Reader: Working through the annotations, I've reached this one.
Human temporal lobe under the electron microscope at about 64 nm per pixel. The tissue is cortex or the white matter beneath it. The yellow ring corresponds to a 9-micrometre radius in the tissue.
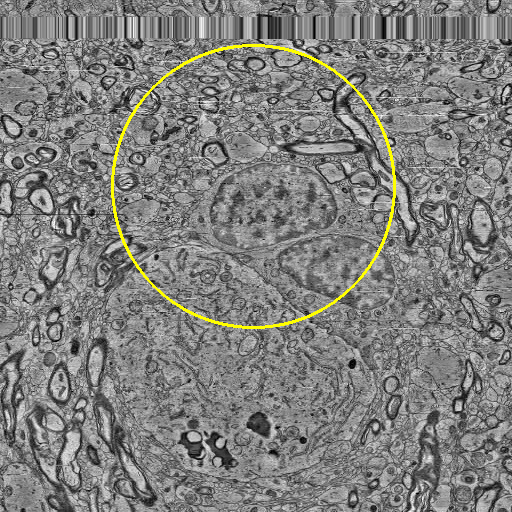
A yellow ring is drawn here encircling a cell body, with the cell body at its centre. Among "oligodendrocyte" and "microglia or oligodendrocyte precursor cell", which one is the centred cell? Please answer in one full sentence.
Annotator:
The cell body at the centre of the yellow ring in this image belongs to an oligodendrocyte.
